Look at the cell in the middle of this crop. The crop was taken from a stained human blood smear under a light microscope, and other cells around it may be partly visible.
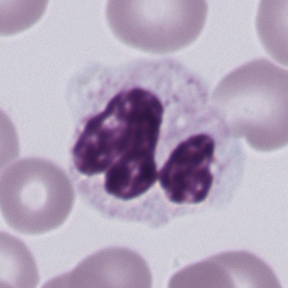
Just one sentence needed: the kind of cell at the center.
The central cell, amid any neighbouring cells, is a segmented neutrophil.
